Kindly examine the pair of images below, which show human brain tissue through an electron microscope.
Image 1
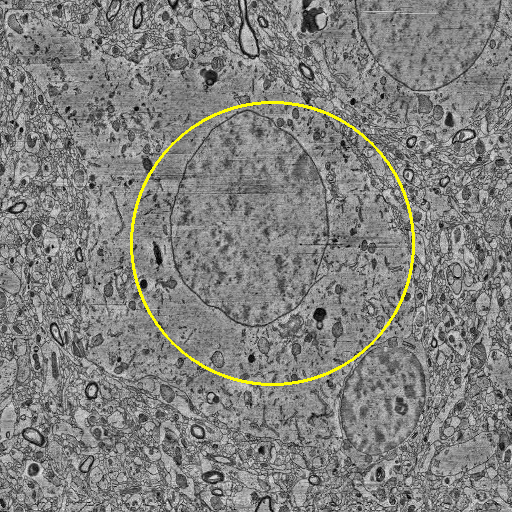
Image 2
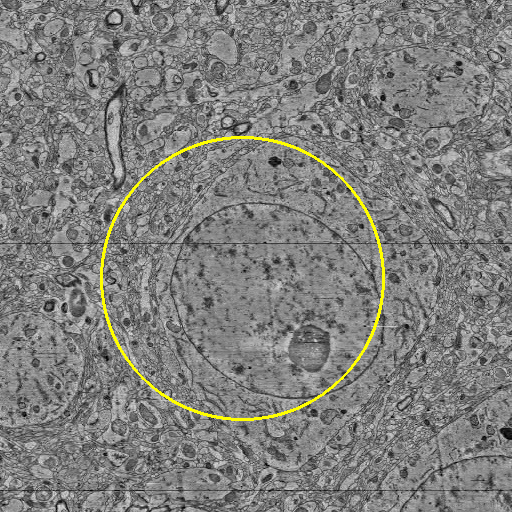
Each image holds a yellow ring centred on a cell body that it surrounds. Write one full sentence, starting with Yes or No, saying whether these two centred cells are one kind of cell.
Yes, both cells at the centres of the yellow rings belong to one kind of cell.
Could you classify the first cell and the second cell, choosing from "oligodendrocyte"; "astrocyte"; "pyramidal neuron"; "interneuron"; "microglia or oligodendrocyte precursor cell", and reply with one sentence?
In each of the two pictures, the ringed cell is a pyramidal neuron.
